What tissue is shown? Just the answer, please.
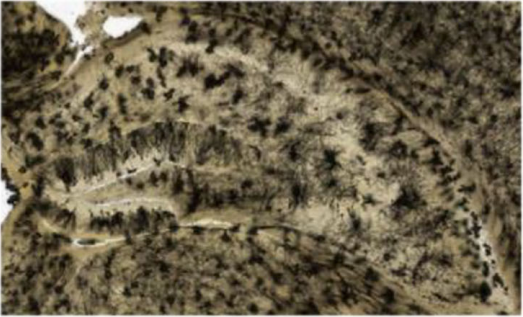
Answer: hippocampal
